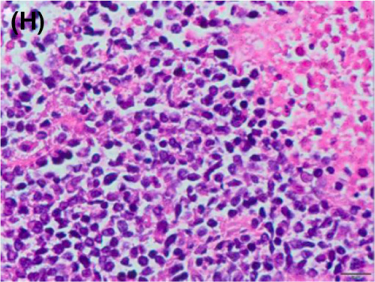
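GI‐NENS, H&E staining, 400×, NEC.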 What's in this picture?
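The nuclei are dark purple and hyperchromatic, crowded and varying in size and shape from round to oval and irregular, reflecting pleomorphism. Cytoplasm is scant, so nuclei appear almost to touch. In the upper right corner the cellular sheet gives way to a pink area containing red blood cells and scattered debris, consistent with necrosis. Compared with well-differentiated tumours, nuclear uniformity is lost and cell density is high.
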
